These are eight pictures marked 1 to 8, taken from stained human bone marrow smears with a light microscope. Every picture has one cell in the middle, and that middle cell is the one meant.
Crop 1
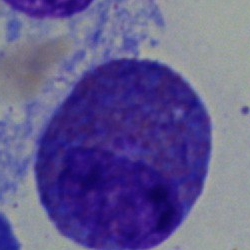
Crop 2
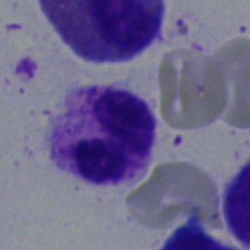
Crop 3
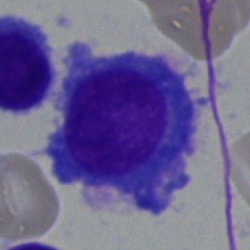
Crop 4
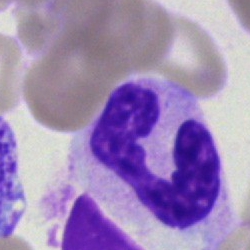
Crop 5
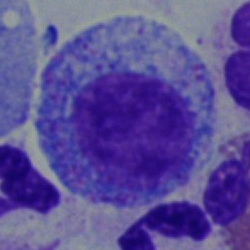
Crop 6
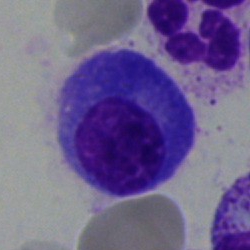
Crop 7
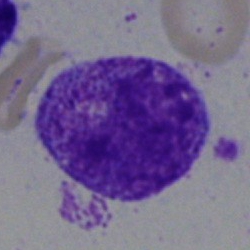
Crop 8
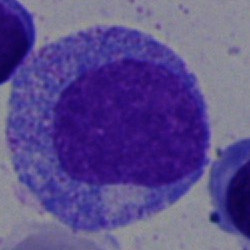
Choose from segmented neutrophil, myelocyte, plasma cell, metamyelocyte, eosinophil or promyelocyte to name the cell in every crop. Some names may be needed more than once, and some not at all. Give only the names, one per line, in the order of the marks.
eosinophil
segmented neutrophil
plasma cell
segmented neutrophil
promyelocyte
plasma cell
metamyelocyte
promyelocyte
